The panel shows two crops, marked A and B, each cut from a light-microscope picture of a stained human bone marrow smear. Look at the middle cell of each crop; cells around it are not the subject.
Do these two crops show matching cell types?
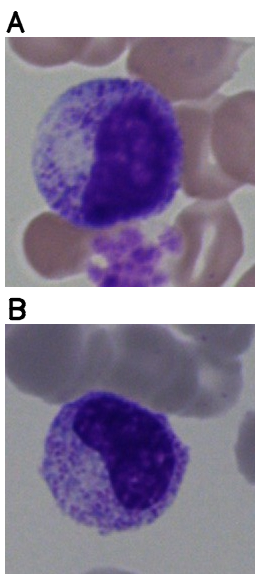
yes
